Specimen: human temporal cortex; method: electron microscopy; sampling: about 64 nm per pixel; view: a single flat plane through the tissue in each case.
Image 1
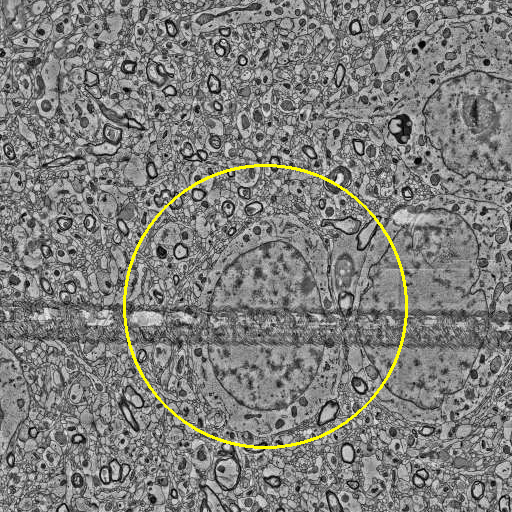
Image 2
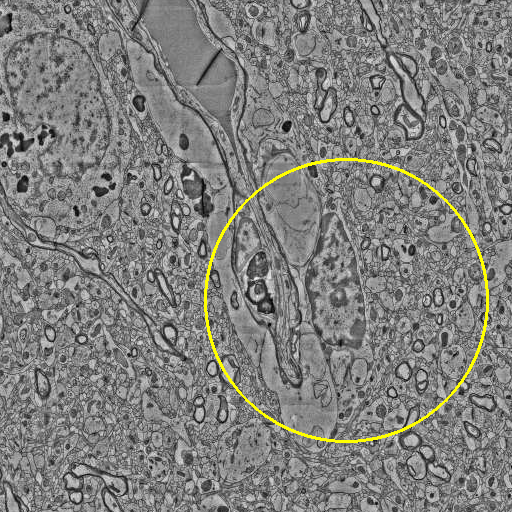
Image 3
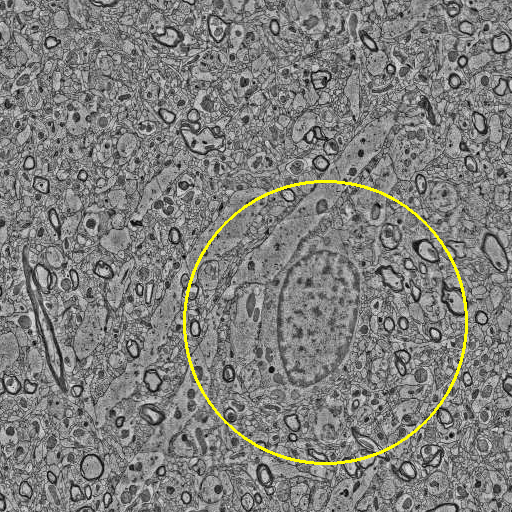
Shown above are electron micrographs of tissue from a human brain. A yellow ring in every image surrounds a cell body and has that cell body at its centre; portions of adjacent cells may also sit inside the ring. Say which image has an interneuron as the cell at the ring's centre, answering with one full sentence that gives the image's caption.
The image whose ring is centred on the requested cell is Image 1.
